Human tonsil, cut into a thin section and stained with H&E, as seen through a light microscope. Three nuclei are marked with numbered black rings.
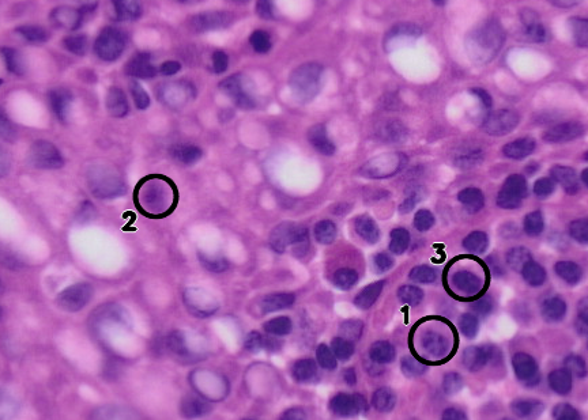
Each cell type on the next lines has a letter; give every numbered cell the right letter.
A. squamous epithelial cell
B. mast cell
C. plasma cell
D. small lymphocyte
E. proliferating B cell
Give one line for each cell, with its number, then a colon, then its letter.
1: C
2: A
3: C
